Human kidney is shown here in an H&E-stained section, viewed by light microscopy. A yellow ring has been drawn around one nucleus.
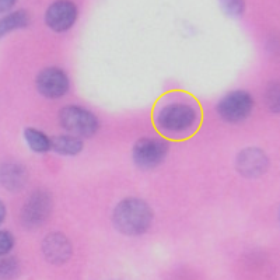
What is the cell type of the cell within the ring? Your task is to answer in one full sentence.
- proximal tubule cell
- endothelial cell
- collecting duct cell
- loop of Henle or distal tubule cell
As to its cell type, the cell within the ring is a loop of Henle or distal tubule cell.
